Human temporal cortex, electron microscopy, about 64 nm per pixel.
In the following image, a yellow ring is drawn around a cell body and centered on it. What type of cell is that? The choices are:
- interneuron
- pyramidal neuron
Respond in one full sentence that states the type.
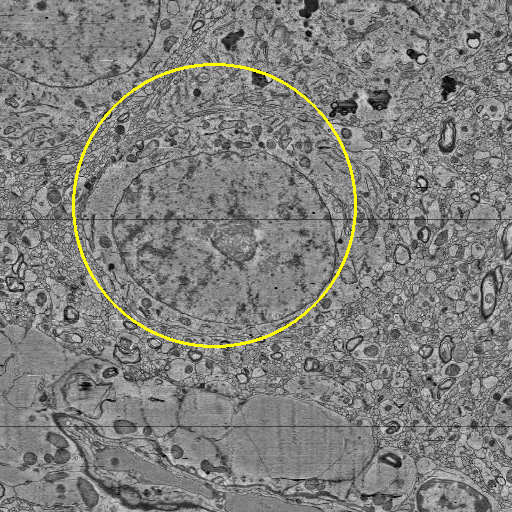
The cell at the center of the yellow ring in the image is an interneuron.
